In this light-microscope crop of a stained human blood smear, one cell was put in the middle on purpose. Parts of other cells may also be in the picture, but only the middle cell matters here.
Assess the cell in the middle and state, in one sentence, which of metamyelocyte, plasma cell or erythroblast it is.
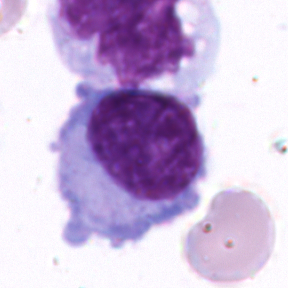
The middle position in this crop is taken by a plasma cell.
